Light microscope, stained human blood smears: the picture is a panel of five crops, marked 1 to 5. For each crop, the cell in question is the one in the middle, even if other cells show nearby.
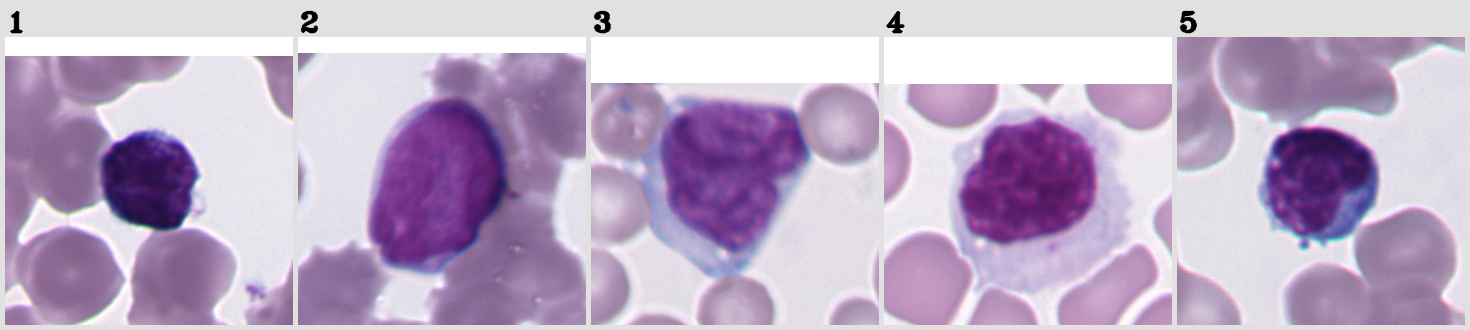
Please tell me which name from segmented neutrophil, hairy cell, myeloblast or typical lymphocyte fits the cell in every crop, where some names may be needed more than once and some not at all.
1: typical lymphocyte
2: myeloblast
3: myeloblast
4: hairy cell
5: typical lymphocyte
